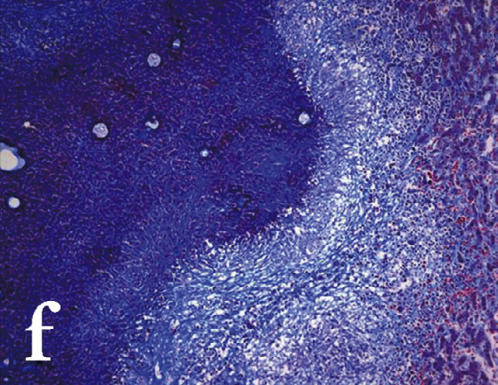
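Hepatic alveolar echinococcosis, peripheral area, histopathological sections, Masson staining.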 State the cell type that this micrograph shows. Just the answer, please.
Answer: inflammatory cells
